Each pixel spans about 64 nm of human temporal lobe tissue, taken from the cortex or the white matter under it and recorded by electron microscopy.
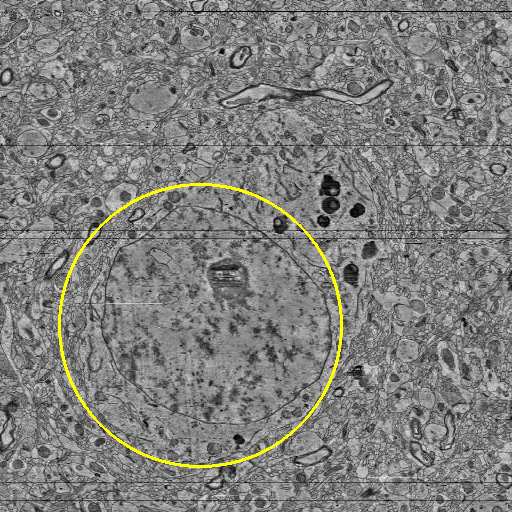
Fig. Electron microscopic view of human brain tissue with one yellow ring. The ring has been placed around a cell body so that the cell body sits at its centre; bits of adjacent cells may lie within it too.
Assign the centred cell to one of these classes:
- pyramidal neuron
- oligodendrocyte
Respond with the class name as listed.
pyramidal neuron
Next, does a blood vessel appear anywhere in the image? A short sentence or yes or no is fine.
No, there is no blood vessel.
